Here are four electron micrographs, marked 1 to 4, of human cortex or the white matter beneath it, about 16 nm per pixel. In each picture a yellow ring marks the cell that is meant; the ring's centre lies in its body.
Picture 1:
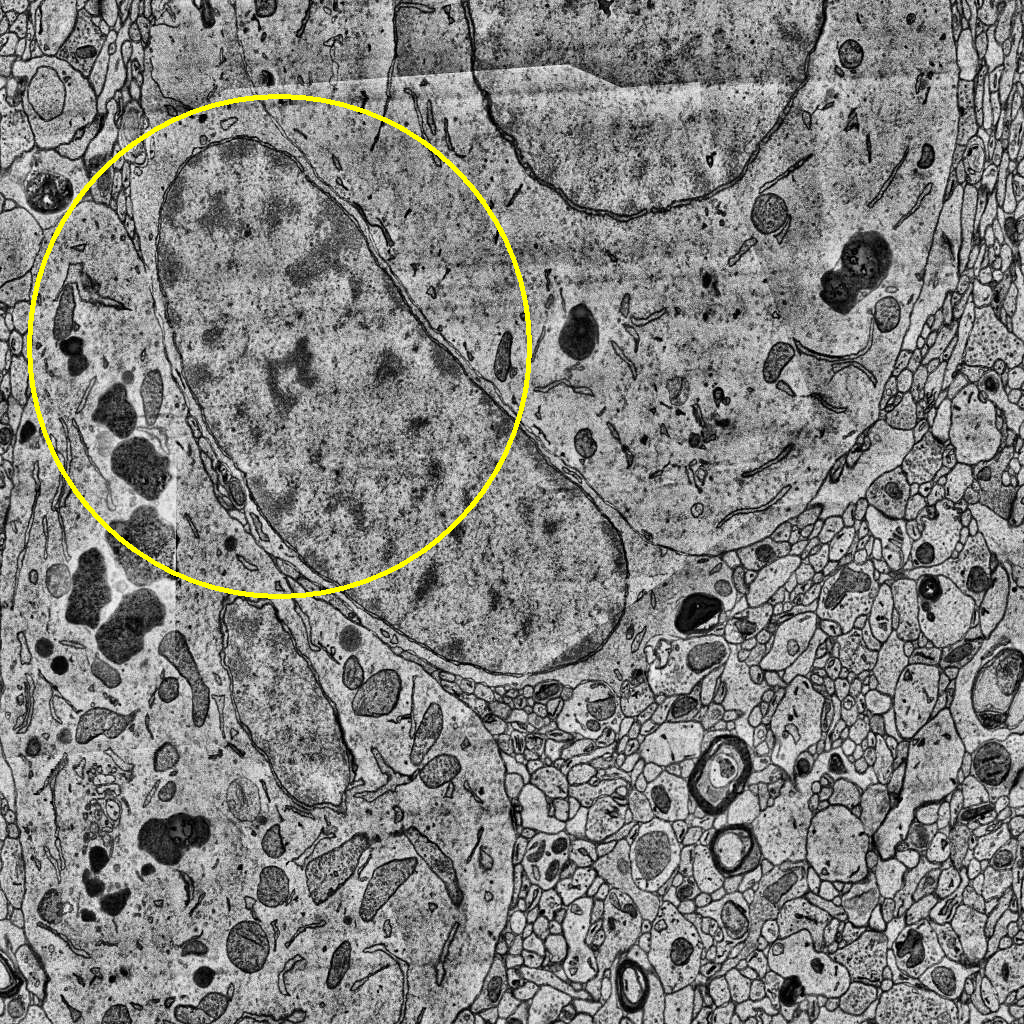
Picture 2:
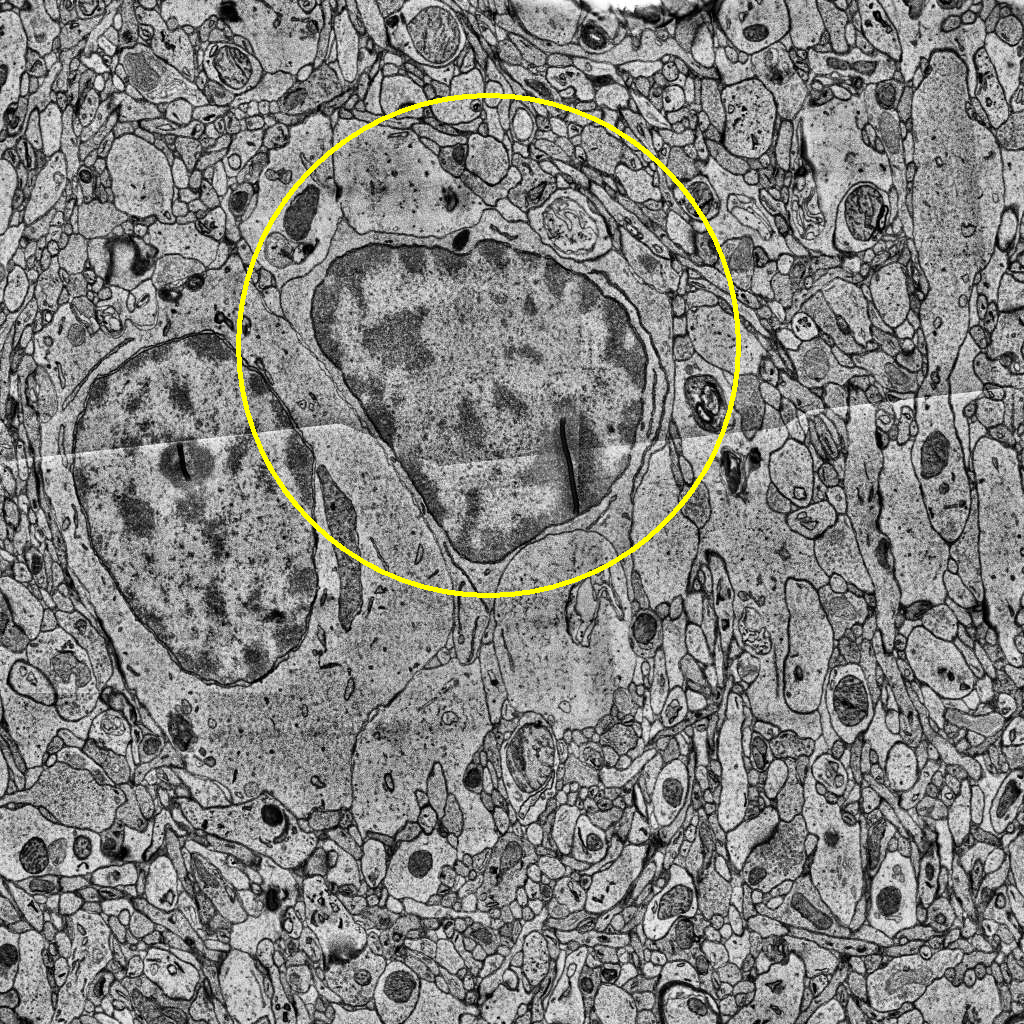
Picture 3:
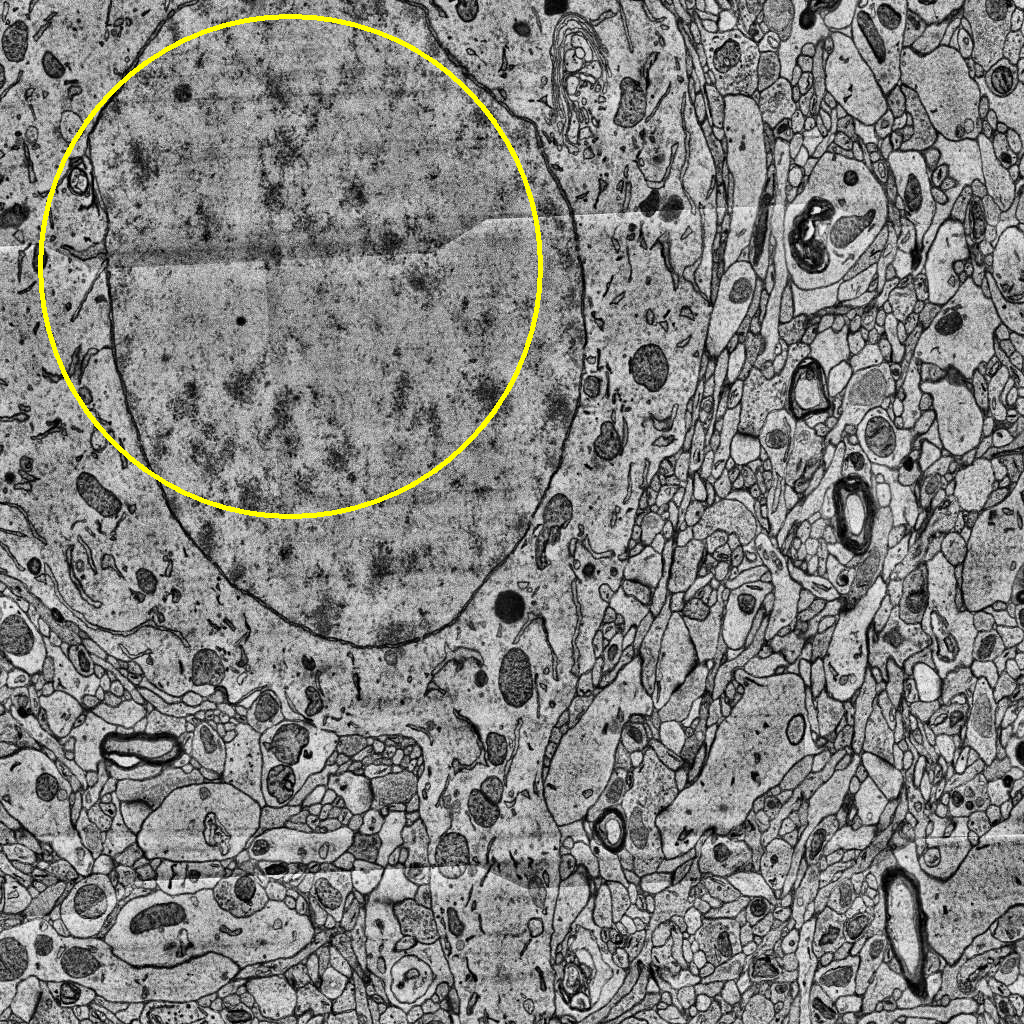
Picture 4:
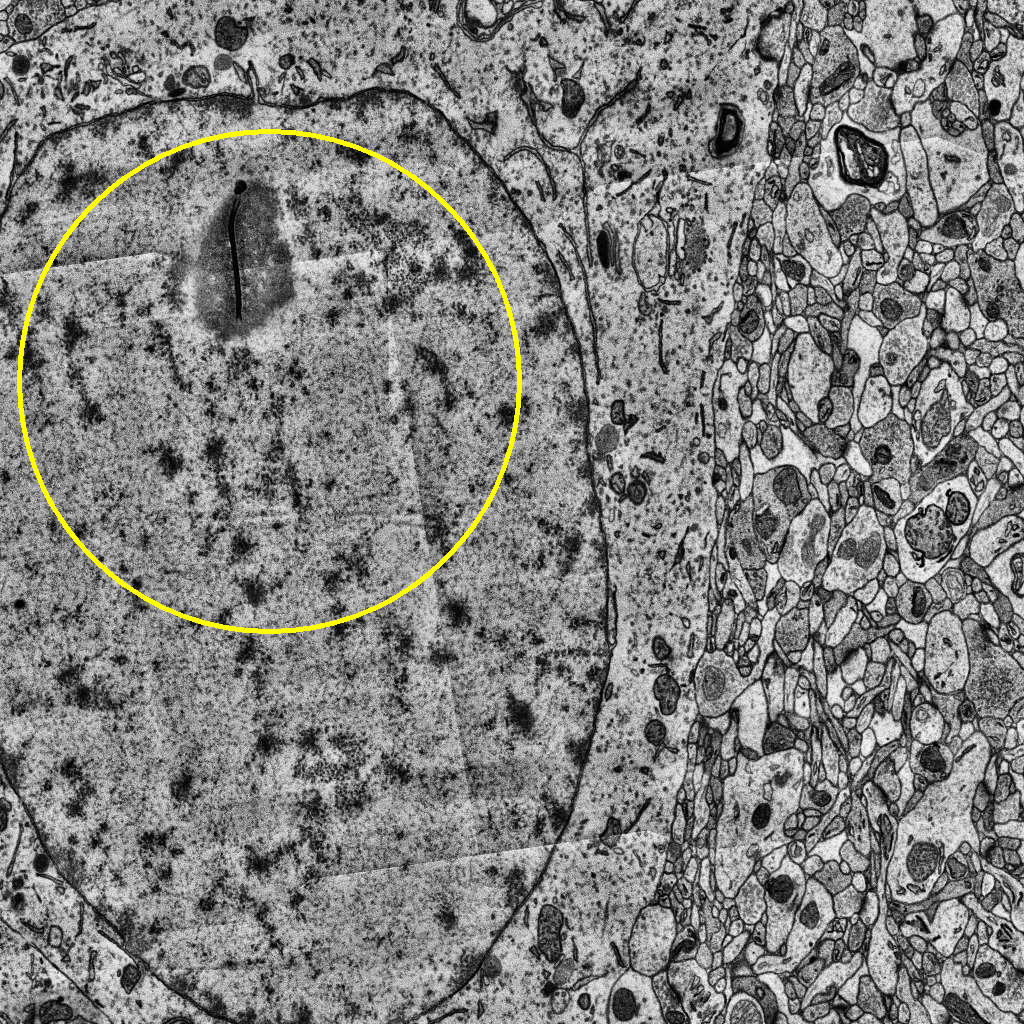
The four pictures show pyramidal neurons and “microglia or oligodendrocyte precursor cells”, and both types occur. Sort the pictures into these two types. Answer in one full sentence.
Pictures 3 and 4 show pyramidal neurons; pictures 1 and 2 show “microglia or oligodendrocyte precursor cells”.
